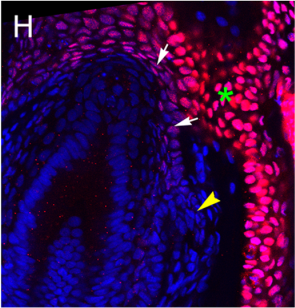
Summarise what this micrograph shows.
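Section showing a tooth germ joined by the dental lamina to the oral epithelium. The oral epithelium at right is packed with brightly red nuclei, which continue in thinner numbers into the dental lamina along the germ. A thin epithelial strand extending down beside the germ has mostly blue nuclei without red label.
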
